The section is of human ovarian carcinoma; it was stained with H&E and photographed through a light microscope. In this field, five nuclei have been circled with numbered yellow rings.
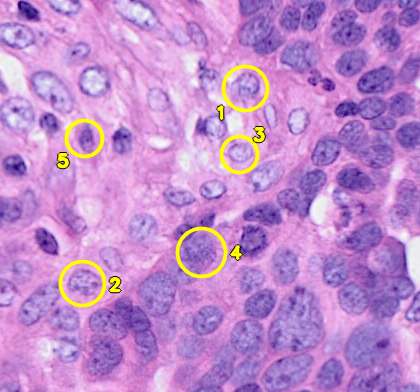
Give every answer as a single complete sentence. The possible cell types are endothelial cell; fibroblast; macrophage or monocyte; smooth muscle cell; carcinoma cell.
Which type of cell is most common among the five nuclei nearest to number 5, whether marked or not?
Around number 5, most of the five nearest nuclei are those of fibroblasts.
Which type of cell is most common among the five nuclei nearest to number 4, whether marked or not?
Carcinoma cells account for more than half of the five nuclei nearest to number 4.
